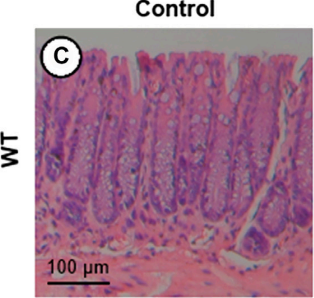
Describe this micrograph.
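This is a section of the colon wall showing the mucosa with its crypts above a thin submucosa and muscle layer. The crypts are long, straight tubes standing side by side in regular parallel rows perpendicular to the surface. Their epithelium is rich in pale, rounded goblet cells that give the crypts a bubbly look, with purple nuclei lined up at the base of the cells. Narrow strips of pink lamina propria separate neighbouring crypts. Beneath the mucosa a thin, compact pink submucosa and muscle layer run evenly along the bottom of the section.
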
